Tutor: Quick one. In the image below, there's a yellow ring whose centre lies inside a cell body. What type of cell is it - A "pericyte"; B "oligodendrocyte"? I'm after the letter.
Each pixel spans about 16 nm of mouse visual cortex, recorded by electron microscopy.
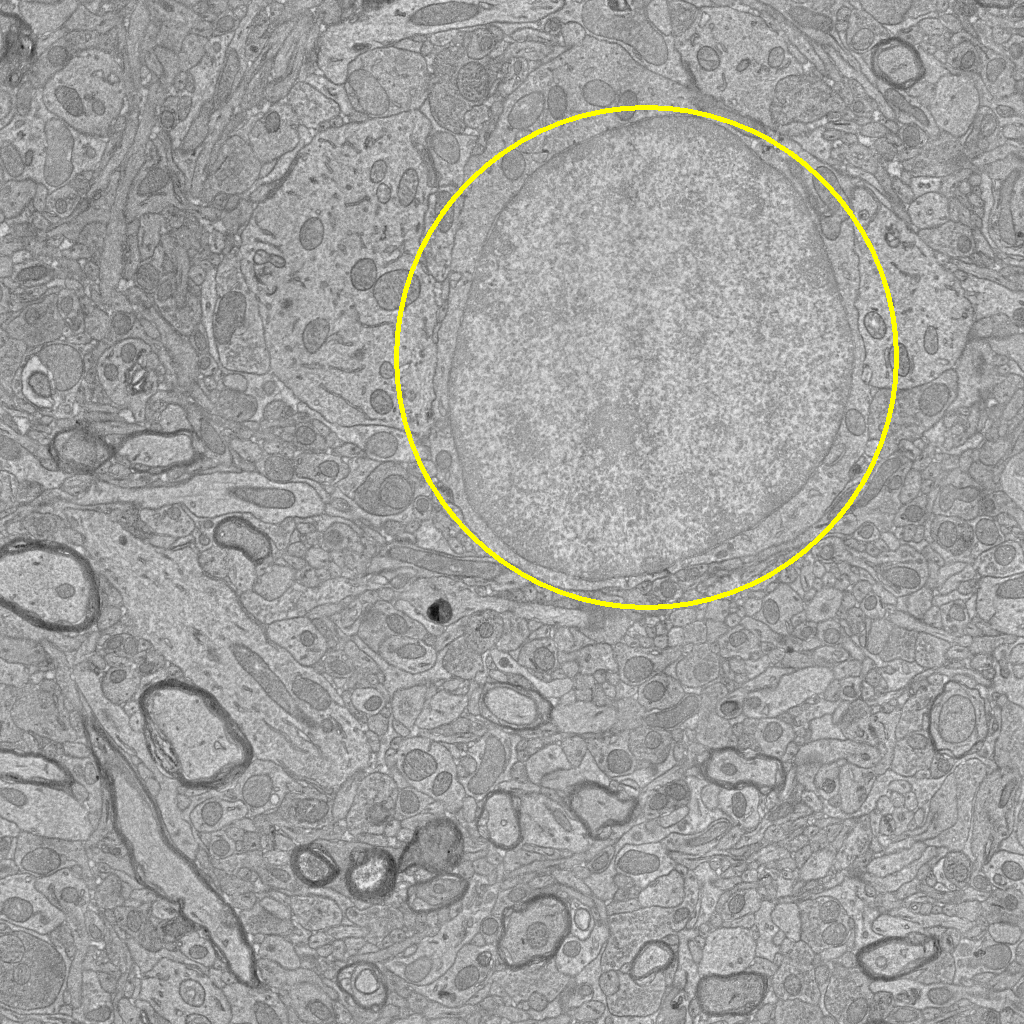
B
